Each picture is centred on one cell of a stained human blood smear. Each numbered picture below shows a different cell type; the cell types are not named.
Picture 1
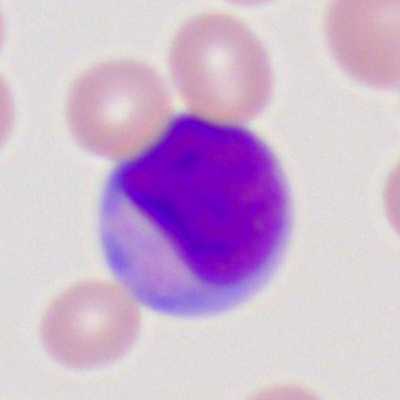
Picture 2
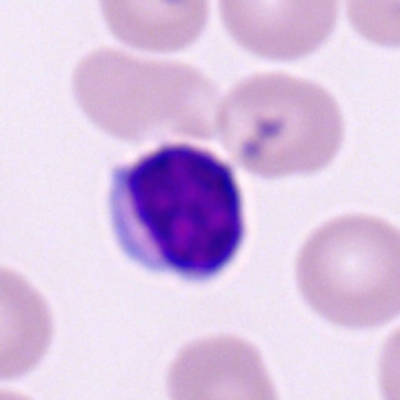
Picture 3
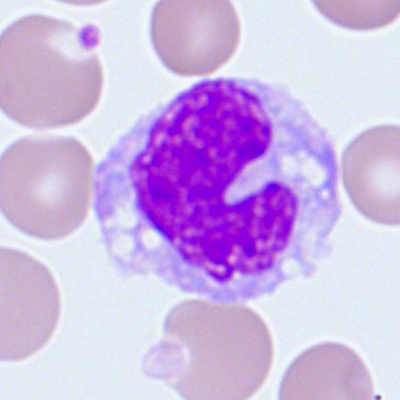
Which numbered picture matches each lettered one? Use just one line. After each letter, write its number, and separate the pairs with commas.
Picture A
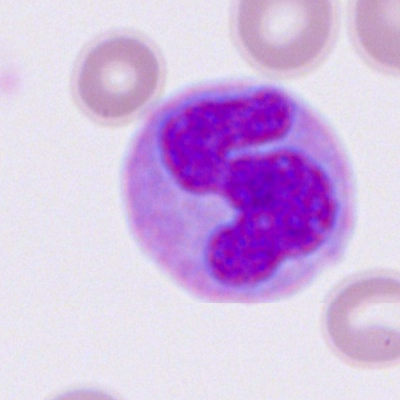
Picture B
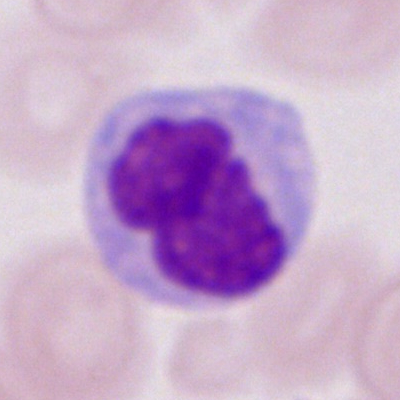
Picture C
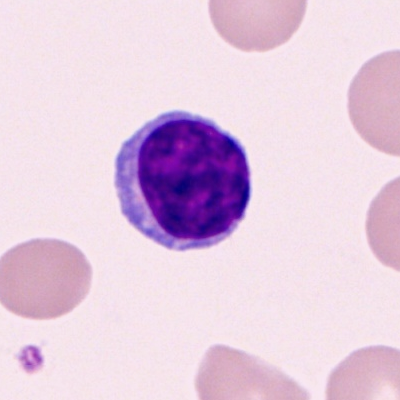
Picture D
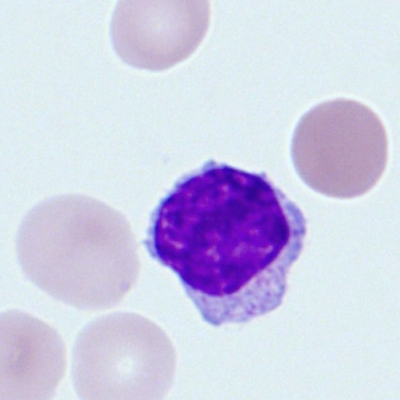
A 3, B 3, C 2, D 2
